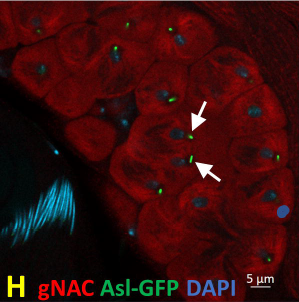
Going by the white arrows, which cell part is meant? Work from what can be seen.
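The arrows point at tiny green rod-shaped dots next to small blue nuclei. Each green dot sits in a red-stained cell. That points to this answer: centrioles.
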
